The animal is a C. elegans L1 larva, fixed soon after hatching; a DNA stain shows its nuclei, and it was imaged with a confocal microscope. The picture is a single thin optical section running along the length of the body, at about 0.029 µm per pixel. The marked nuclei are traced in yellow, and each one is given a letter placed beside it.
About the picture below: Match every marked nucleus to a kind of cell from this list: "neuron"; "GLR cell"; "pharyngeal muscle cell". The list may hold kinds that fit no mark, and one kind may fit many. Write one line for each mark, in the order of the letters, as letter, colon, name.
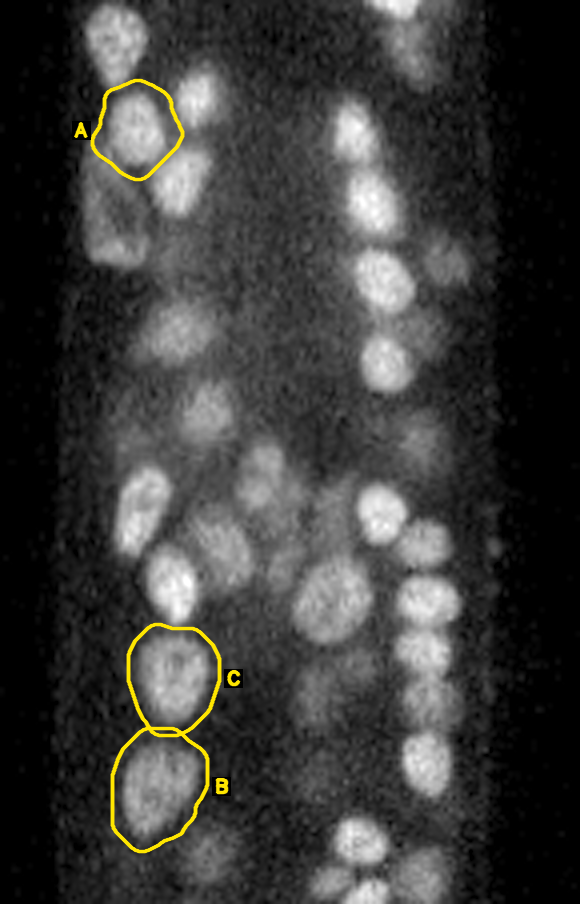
A: neuron
B: pharyngeal muscle cell
C: pharyngeal muscle cell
